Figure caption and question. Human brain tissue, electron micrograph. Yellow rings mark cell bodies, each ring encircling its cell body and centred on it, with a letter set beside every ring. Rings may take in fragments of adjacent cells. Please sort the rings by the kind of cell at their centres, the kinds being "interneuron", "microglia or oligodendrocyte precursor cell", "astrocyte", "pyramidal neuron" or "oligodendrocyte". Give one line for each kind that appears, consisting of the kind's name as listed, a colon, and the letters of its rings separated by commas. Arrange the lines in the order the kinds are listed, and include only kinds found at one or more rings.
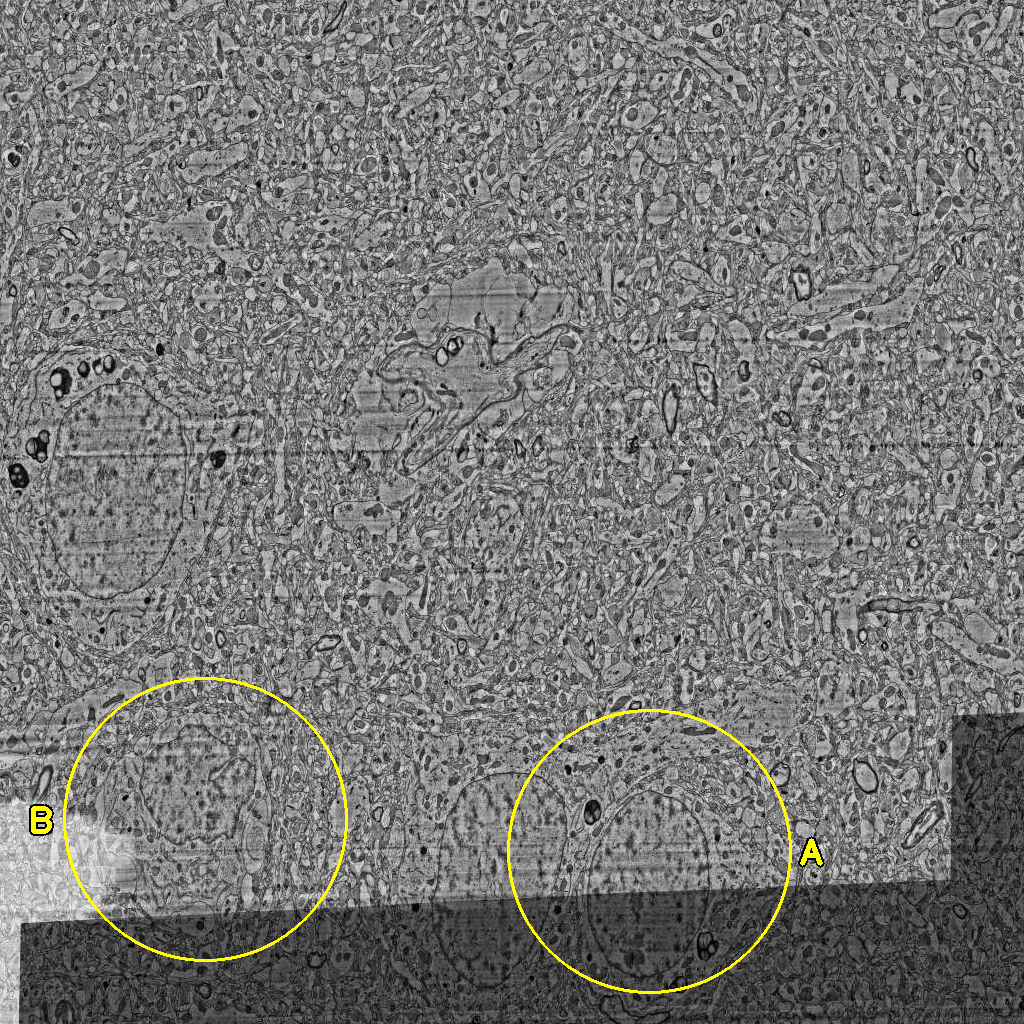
interneuron: B
pyramidal neuron: A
